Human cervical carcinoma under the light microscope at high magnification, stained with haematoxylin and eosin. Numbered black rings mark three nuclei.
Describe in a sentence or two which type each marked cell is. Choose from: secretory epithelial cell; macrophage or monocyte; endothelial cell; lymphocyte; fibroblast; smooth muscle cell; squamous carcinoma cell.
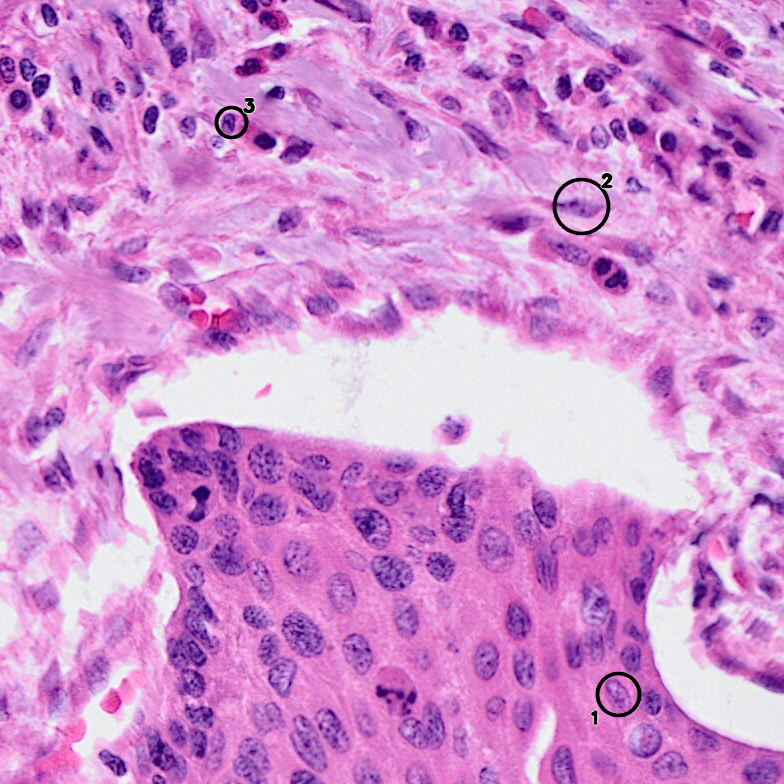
Cell 1 is a squamous carcinoma cell. Cell 2 is a fibroblast. Cell 3 is a lymphocyte.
